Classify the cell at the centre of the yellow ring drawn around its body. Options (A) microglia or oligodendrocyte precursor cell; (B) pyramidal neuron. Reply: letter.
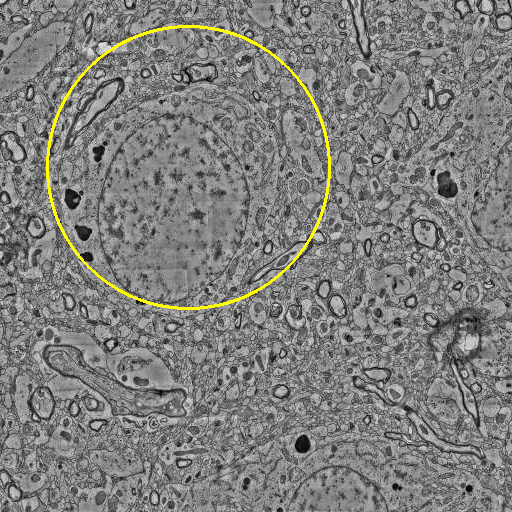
B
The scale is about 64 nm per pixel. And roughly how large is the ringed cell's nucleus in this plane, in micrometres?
About 12 by 10 micrometres in this plane.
